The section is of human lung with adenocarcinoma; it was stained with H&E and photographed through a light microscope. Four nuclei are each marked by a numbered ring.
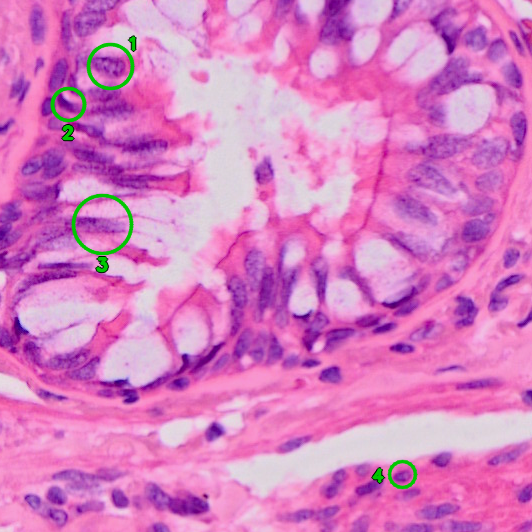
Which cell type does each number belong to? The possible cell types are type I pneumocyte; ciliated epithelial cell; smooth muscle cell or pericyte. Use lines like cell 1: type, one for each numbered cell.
cell 1: ciliated epithelial cell
cell 2: ciliated epithelial cell
cell 3: ciliated epithelial cell
cell 4: smooth muscle cell or pericyte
